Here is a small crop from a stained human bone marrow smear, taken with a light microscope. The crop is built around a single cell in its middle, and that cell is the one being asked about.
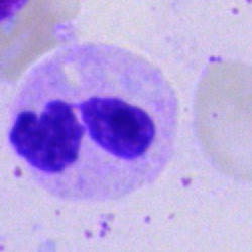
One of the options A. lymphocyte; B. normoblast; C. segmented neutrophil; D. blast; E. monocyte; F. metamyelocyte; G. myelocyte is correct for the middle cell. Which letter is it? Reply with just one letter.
C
